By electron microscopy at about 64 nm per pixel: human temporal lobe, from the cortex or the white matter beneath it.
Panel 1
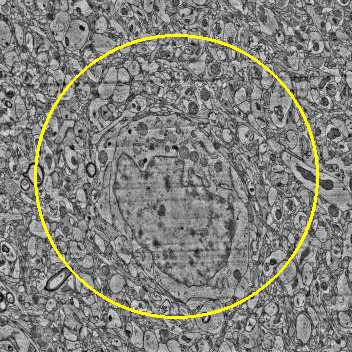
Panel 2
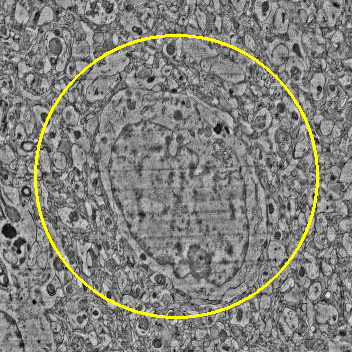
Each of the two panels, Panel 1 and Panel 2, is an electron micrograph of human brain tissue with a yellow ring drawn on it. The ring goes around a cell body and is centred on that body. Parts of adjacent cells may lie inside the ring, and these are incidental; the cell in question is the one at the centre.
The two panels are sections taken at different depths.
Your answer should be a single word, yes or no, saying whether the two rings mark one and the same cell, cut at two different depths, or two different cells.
yes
